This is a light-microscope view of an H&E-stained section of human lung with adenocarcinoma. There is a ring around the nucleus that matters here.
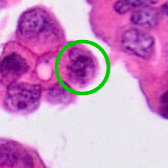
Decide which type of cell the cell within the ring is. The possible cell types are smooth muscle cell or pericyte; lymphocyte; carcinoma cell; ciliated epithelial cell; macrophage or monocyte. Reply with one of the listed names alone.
carcinoma cell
